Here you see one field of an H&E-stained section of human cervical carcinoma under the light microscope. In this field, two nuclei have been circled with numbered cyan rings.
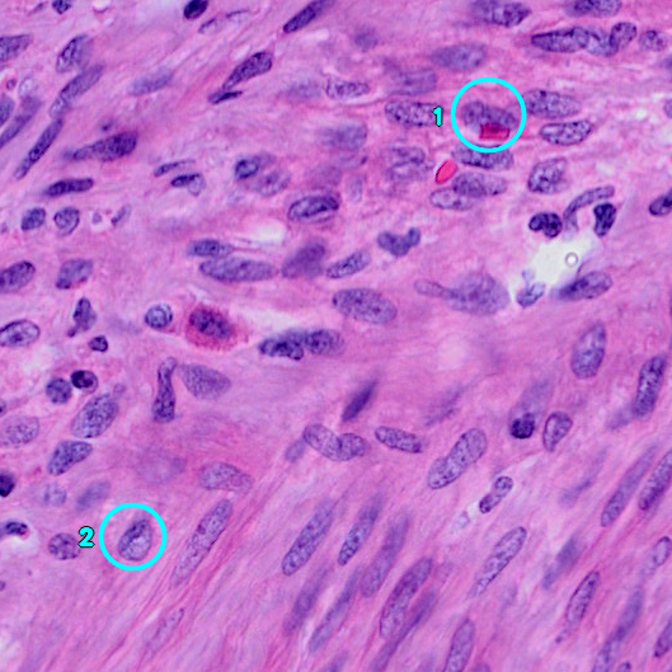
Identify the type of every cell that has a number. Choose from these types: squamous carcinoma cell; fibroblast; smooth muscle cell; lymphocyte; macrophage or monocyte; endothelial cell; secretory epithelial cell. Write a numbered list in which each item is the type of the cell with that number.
1. endothelial cell
2. smooth muscle cell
